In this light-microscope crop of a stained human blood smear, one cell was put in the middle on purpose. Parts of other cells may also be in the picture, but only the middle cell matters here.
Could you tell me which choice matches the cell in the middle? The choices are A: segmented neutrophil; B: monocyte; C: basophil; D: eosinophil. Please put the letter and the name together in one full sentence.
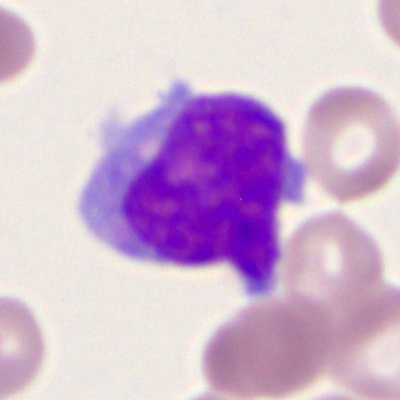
Option B is correct, naming the cell in the middle as a monocyte.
